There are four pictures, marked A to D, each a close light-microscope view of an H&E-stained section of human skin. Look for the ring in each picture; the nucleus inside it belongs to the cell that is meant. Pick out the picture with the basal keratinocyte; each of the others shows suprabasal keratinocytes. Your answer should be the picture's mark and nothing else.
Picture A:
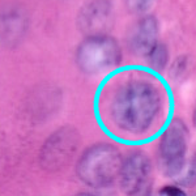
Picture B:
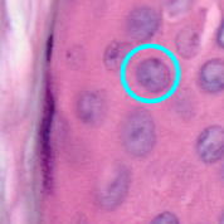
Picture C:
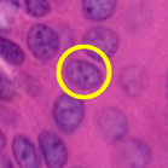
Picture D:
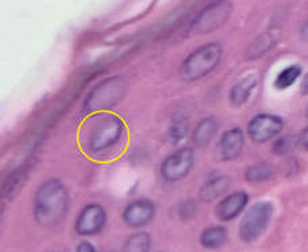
A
